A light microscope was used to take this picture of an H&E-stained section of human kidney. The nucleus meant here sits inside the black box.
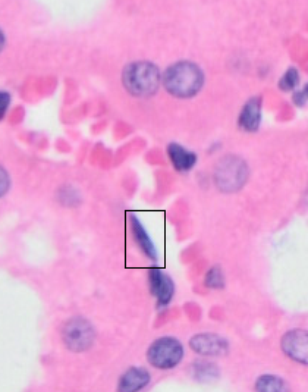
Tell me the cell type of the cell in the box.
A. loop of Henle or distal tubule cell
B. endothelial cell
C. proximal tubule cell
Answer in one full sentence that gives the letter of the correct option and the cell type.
Option B is correct here; the cell in the box is an endothelial cell.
